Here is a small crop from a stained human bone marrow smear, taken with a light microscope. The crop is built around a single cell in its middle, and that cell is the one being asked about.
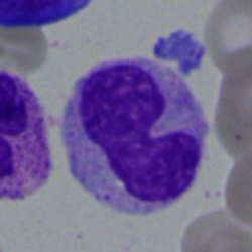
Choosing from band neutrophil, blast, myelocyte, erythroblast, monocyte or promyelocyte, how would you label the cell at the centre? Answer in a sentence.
The centrally located cell in the crop is a band neutrophil.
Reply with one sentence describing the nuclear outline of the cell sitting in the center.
See how the nucleus sits as one compact round, oval or kidney-shaped mass.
